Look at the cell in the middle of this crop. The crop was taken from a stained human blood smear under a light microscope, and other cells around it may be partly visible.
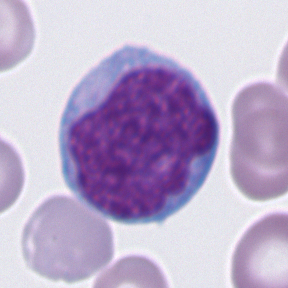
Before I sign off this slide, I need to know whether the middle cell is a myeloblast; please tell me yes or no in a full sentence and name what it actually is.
Yes, the centered cell in this field is a myeloblast.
